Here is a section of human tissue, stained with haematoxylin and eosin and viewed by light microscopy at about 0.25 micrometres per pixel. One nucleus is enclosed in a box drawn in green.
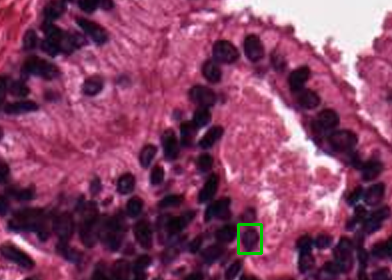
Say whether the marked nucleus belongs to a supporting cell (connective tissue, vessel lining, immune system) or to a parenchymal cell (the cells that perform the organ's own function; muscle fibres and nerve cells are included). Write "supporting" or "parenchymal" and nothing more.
parenchymal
